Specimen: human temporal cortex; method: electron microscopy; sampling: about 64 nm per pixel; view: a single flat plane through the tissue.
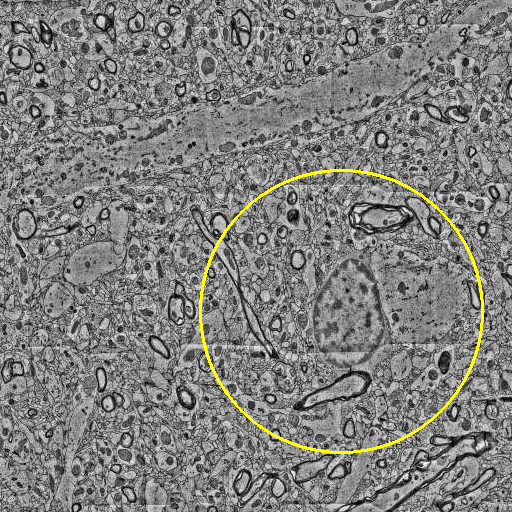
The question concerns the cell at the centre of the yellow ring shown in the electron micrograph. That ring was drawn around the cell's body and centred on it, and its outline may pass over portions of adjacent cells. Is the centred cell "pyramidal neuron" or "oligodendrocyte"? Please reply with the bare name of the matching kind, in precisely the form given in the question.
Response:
oligodendrocyte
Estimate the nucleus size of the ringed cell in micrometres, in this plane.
In this plane, the nucleus of the cell at the centre of the ring measures about 7 by 5 micrometres.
